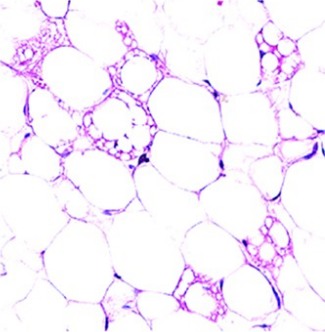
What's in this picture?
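This is adipose tissue that contains both large and small fat cells. Scattered clusters of smaller adipocytes have pink cytoplasm divided into many small clear vacuoles, giving a foamy look. Between these clusters lie larger cells, each with a single clear space bounded by a thin pink rim. Dark purple nuclei are seen along the cell borders.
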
